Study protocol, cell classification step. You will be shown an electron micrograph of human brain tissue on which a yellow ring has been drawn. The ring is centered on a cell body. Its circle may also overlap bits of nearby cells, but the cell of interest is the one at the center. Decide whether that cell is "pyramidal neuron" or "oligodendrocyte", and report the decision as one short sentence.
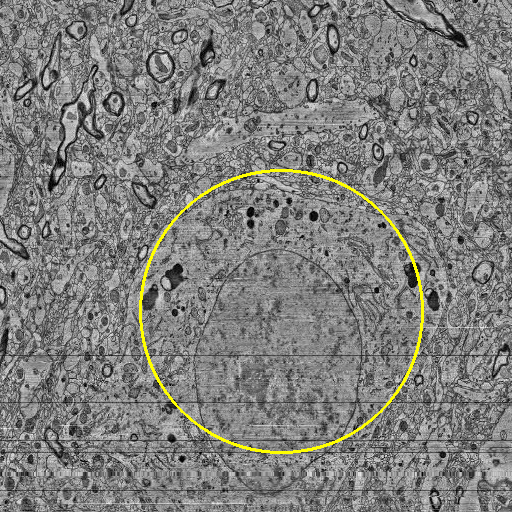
The marked cell is a pyramidal neuron.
